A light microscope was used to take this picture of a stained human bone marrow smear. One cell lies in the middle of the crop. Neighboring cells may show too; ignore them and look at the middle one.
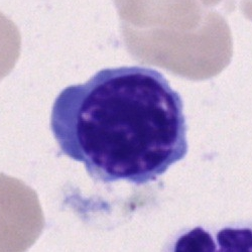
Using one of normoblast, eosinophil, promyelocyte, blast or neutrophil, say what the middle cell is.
normoblast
